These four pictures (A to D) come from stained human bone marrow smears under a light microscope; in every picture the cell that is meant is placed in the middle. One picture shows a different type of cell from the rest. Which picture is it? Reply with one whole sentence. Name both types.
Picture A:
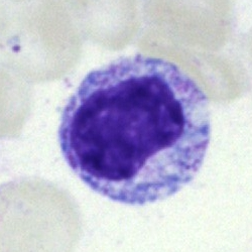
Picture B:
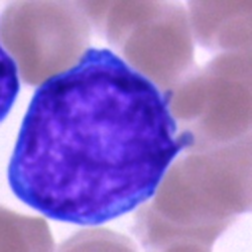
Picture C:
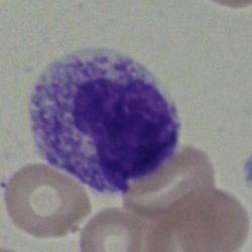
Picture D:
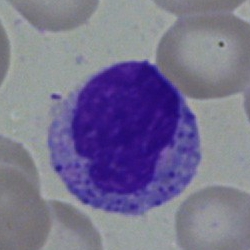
The different one is picture B; it shows a blast, whereas all the others show myelocytes.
